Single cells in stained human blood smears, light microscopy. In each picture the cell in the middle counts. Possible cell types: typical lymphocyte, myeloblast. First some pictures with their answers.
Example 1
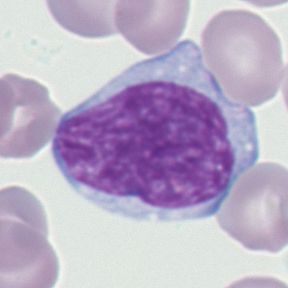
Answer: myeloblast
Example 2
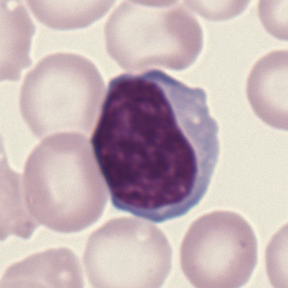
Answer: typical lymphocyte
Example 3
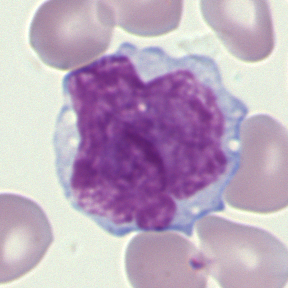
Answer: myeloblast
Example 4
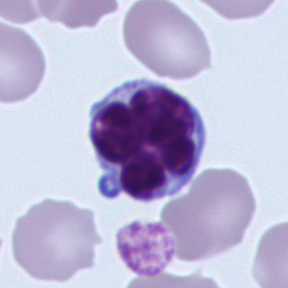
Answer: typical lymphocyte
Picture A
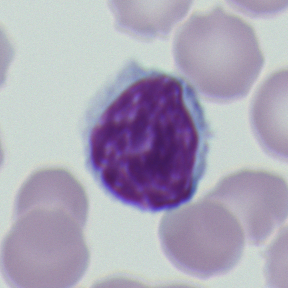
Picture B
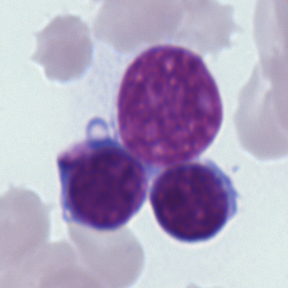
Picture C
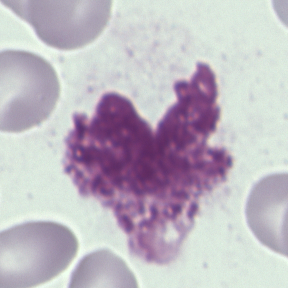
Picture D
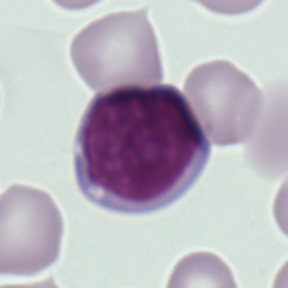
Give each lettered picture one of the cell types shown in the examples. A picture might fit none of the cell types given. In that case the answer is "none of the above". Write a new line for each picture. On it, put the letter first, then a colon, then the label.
A: typical lymphocyte
B: myeloblast
C: none of the above
D: typical lymphocyte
